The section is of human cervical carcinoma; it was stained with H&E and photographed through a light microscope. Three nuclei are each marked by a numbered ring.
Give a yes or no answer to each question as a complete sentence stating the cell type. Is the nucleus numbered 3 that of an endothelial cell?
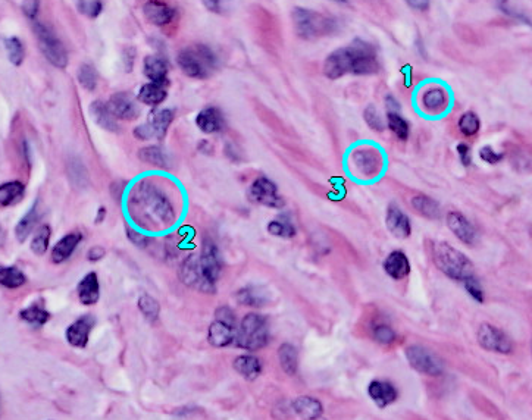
No, cell 3 does not represent an endothelial cell; it represents a smooth muscle cell.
